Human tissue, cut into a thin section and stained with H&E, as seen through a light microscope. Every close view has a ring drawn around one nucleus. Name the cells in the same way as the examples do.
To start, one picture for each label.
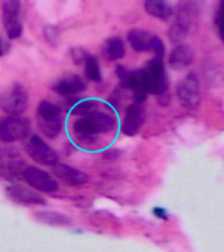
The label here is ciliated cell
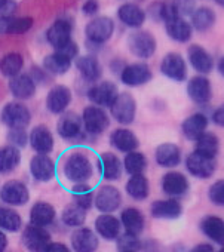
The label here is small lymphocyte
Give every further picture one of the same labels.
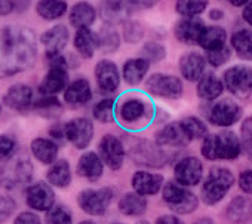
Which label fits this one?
small lymphocyte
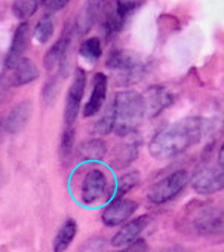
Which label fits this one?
ciliated cell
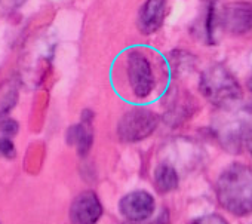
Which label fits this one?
ciliated cell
